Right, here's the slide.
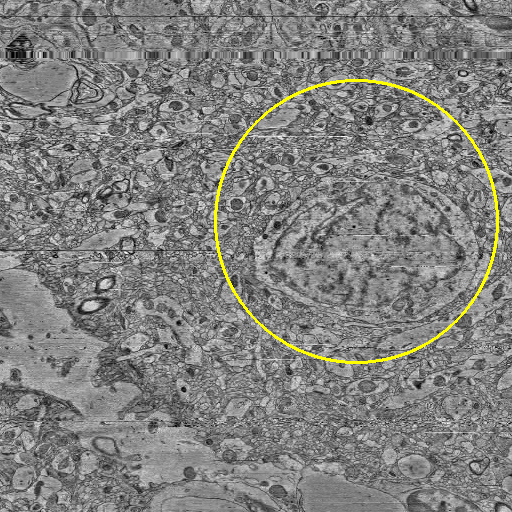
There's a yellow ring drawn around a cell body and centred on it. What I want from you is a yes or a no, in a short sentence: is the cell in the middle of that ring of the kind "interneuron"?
Yes, it's of that kind.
